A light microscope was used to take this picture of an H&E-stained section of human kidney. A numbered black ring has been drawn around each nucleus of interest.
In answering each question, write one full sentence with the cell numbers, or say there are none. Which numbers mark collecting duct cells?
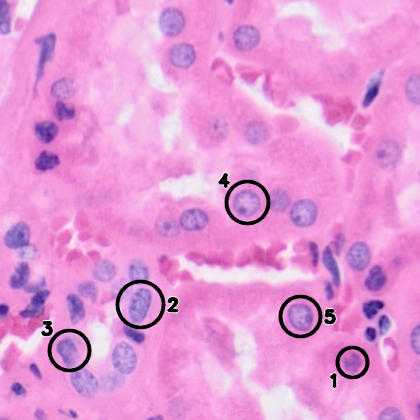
Within the section, cells numbered 2 and 3 are collecting duct cells.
